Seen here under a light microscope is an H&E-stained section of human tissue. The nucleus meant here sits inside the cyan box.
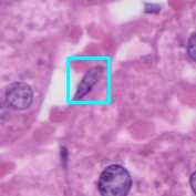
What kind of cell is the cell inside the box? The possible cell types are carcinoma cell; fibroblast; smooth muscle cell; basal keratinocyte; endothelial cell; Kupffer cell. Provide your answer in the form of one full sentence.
Students should answer that the cell inside the box is a Kupffer cell.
